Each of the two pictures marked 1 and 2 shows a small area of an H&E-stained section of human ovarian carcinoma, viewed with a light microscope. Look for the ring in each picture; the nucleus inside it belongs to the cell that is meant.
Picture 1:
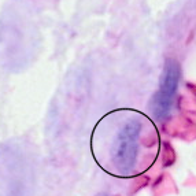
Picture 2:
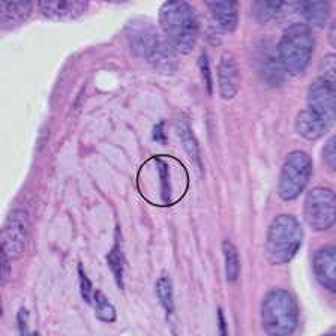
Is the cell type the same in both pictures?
no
